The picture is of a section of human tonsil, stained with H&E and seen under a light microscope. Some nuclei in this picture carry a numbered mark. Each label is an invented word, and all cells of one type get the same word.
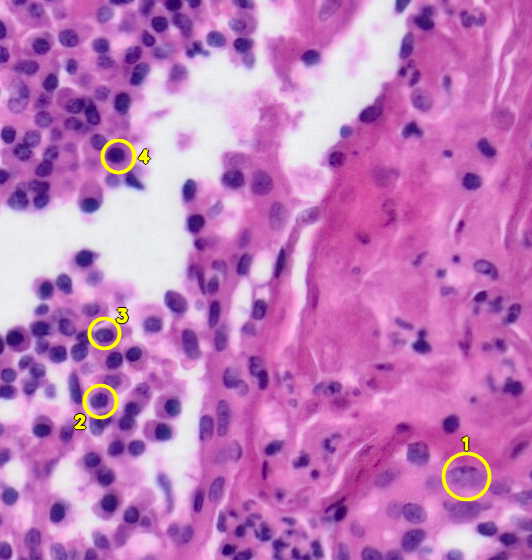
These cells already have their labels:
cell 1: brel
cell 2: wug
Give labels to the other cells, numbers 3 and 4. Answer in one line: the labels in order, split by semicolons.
wug; wug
